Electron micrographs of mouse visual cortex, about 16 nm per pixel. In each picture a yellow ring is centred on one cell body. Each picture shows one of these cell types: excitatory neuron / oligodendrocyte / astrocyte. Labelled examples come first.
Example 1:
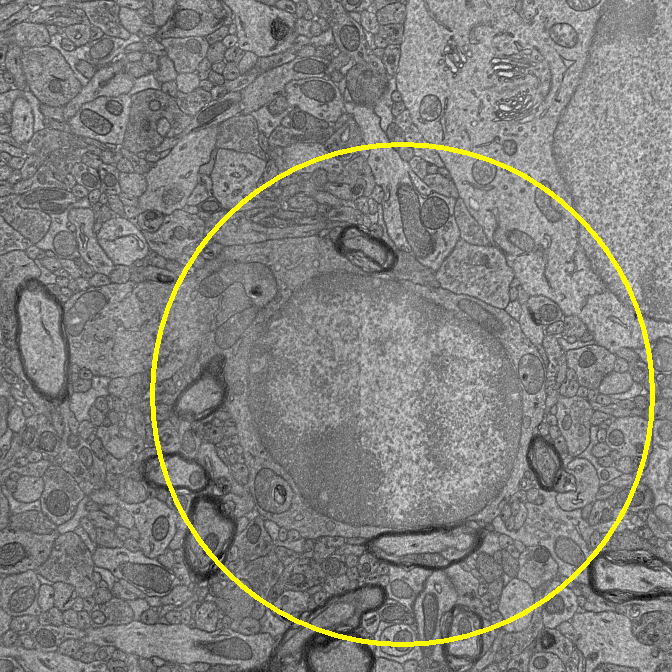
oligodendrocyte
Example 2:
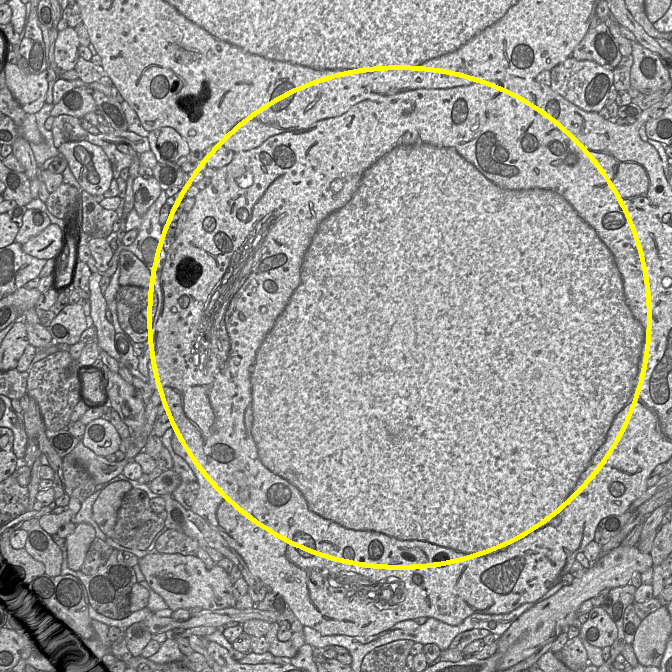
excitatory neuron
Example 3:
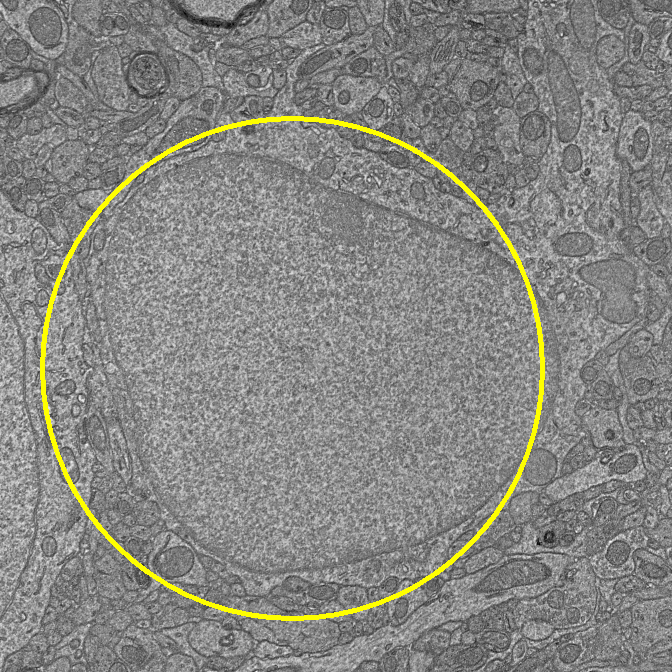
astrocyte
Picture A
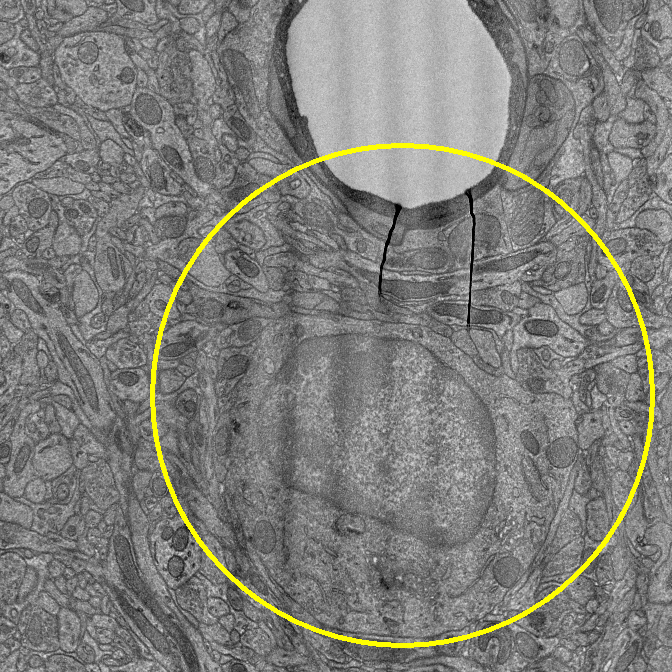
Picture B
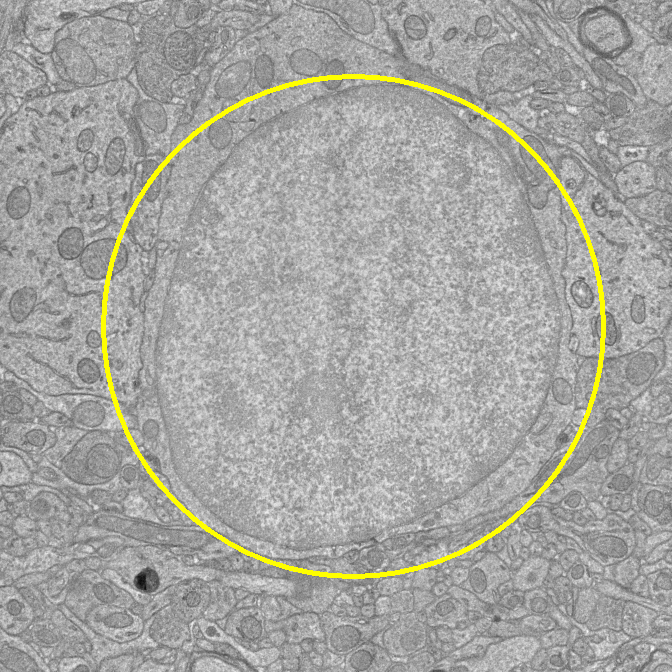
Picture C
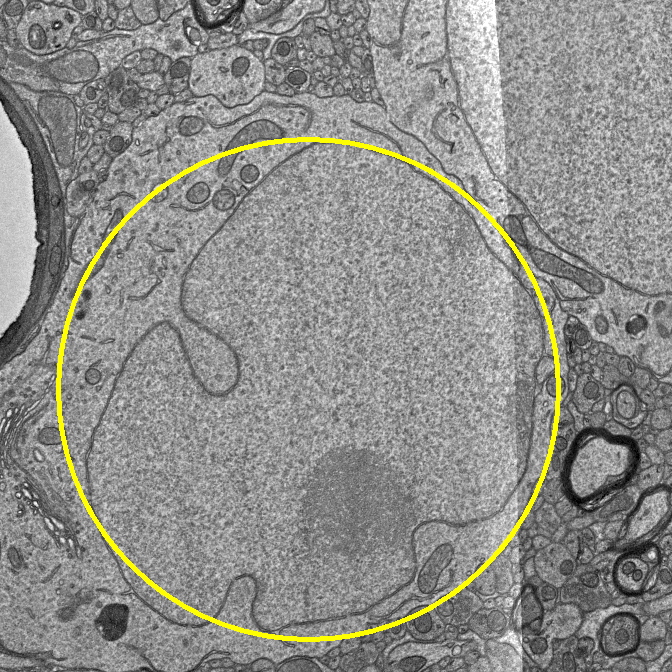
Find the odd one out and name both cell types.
C (excitatory neuron) is the exception; every other picture is oligodendrocyte.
